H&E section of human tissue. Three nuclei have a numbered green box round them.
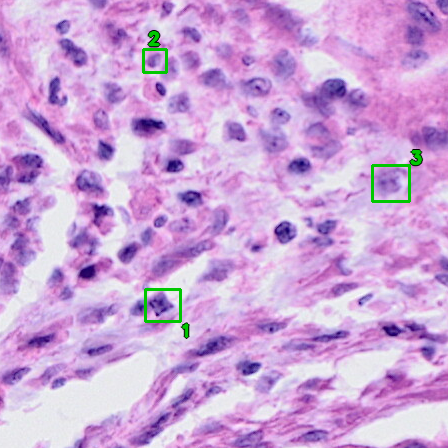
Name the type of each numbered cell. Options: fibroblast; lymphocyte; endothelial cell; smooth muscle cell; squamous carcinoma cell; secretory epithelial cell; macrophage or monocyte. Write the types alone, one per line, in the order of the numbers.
lymphocyte
fibroblast
fibroblast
